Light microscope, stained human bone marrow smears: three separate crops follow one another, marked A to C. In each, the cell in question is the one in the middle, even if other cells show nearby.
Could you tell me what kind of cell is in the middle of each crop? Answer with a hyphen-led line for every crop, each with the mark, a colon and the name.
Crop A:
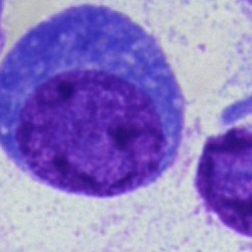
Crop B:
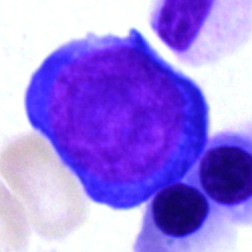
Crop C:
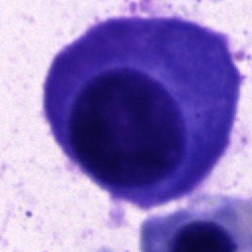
- A: plasma cell
- B: proerythroblast
- C: plasma cell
